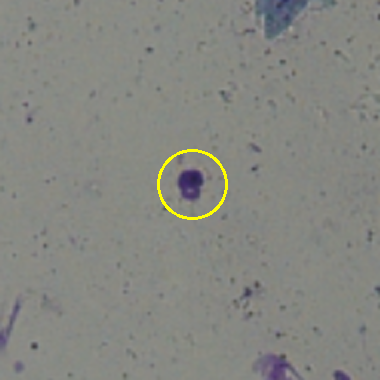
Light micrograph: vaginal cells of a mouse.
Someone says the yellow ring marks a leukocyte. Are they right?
They are right: it is a leukocyte.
